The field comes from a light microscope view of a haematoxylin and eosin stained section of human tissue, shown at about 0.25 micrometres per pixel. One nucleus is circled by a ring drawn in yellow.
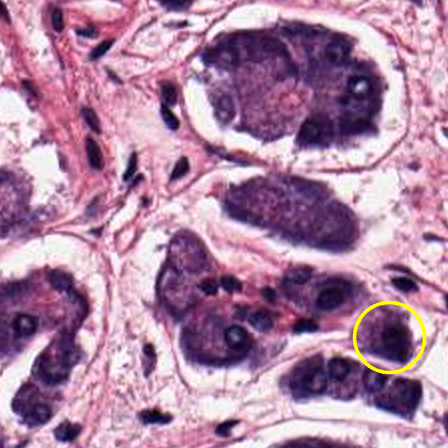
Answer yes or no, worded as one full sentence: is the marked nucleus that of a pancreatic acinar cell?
Yes, the marked nucleus, in this picture, is that of a pancreatic acinar cell.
